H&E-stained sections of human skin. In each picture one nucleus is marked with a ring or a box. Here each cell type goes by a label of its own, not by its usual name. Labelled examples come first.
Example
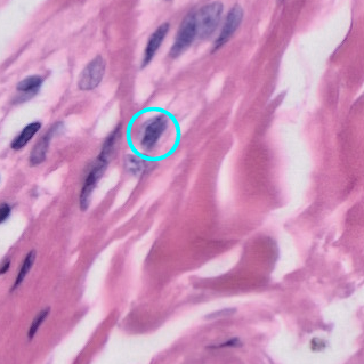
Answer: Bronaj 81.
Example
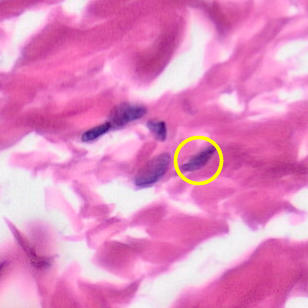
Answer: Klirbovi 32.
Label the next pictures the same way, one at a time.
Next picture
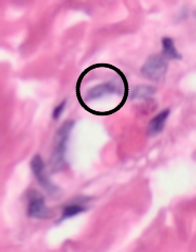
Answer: Bronaj 81.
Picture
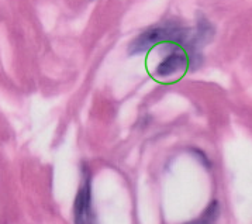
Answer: Bronaj 81.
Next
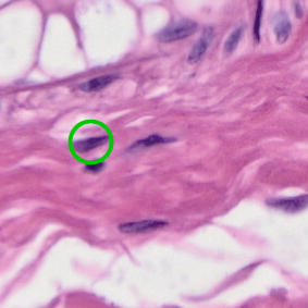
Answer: Klirbovi 32.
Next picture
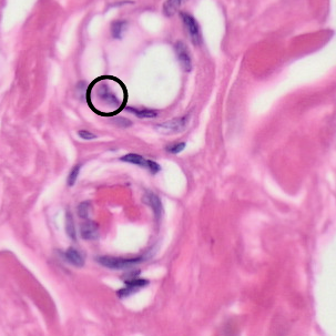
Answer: Bronaj 81.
